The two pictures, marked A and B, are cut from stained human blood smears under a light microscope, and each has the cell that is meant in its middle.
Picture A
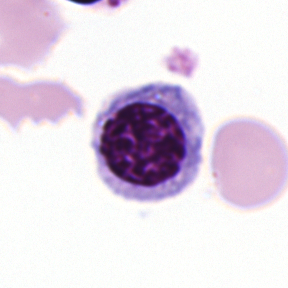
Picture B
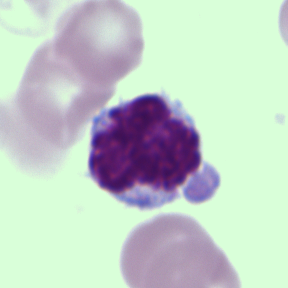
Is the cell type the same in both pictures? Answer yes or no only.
no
